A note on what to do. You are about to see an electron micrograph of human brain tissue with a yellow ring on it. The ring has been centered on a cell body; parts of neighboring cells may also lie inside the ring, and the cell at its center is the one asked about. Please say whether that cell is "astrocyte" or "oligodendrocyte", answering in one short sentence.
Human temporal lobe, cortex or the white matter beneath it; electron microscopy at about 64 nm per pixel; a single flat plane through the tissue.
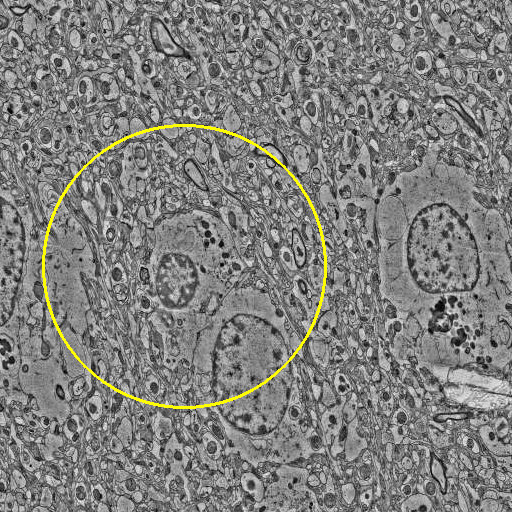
The yellow ring sits on an astrocyte.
